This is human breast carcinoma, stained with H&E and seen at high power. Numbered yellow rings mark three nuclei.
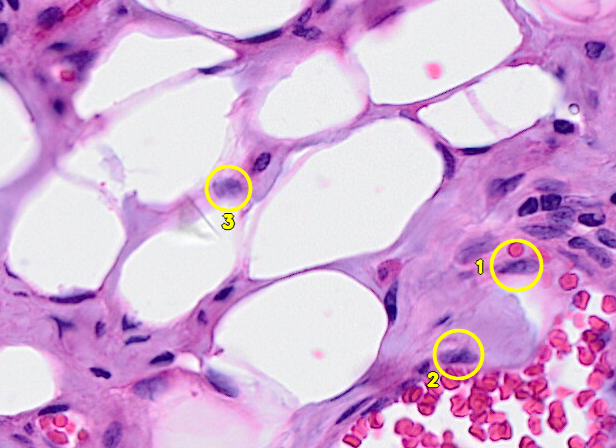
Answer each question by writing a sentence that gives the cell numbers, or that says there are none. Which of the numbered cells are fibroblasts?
Of all the cells bearing numbers, cell 3 is the only one that is a fibroblast.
